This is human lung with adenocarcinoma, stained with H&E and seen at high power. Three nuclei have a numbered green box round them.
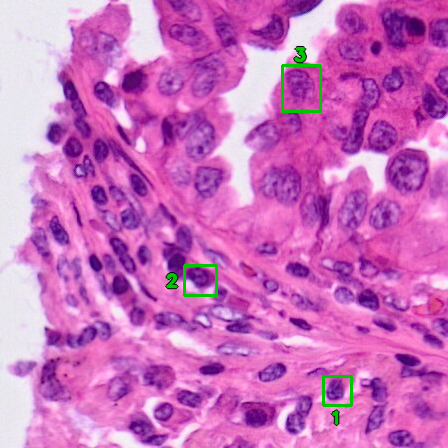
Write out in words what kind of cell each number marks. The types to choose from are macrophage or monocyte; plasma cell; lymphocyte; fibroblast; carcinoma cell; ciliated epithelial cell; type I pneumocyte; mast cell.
Cell 1 is a lymphocyte. Cell 2 is a plasma cell. Cell 3 is a carcinoma cell.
